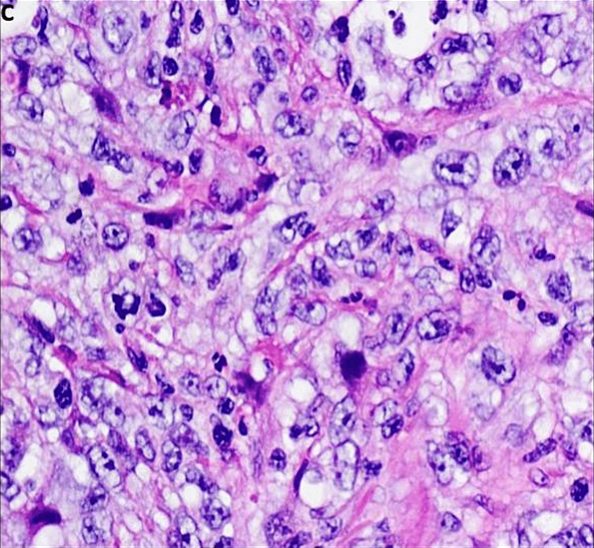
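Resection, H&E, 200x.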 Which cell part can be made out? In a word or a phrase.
Variable prominent nucleoli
